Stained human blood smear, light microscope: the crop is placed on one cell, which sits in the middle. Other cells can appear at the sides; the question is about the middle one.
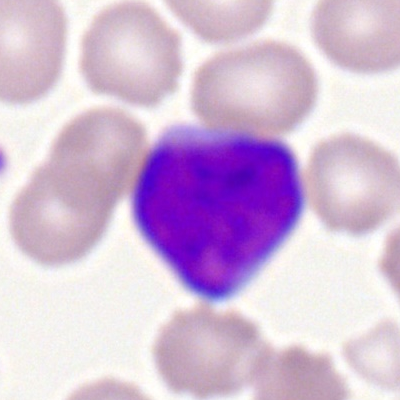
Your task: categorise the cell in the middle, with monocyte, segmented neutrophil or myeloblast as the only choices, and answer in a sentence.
In the centre of this crop there is a myeloblast.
